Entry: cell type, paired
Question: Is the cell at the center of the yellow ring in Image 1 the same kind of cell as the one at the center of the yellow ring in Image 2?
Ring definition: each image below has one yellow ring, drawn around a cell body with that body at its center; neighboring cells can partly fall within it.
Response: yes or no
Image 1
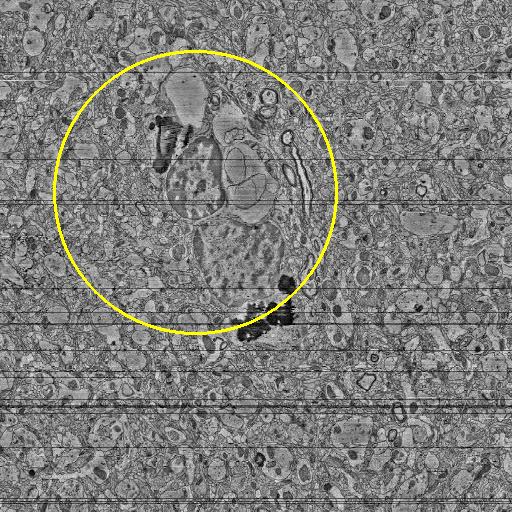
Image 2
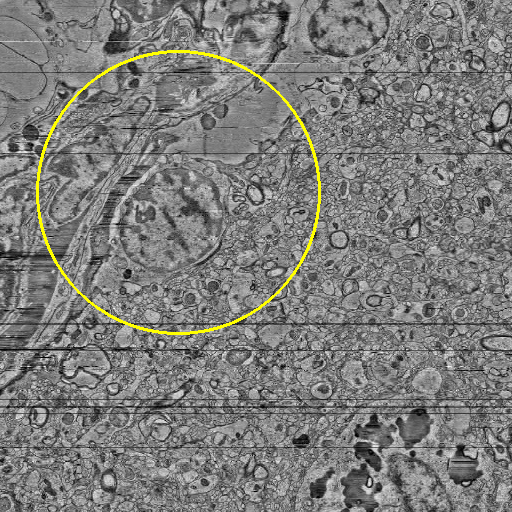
no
